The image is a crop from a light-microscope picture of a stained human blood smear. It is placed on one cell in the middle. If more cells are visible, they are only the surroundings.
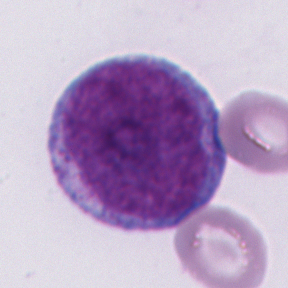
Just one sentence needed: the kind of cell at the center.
Within this crop, a promyelocyte occupies the central position.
